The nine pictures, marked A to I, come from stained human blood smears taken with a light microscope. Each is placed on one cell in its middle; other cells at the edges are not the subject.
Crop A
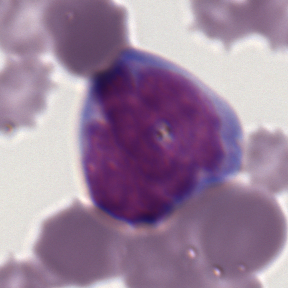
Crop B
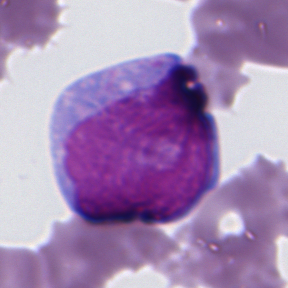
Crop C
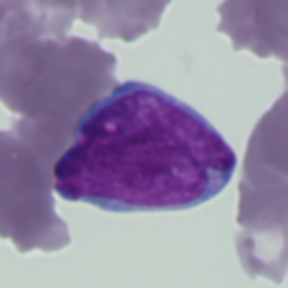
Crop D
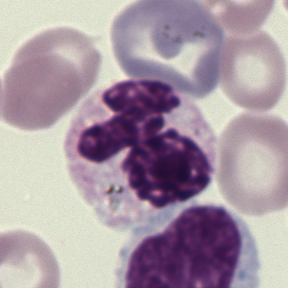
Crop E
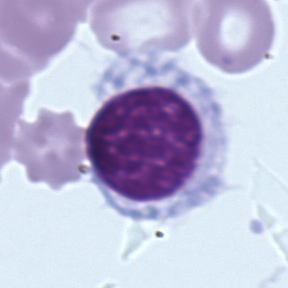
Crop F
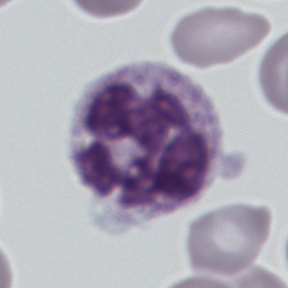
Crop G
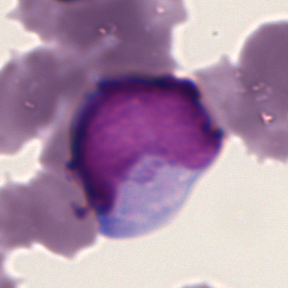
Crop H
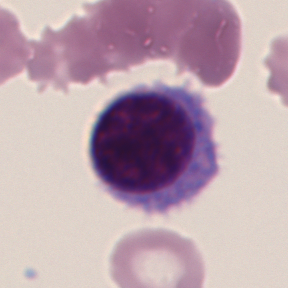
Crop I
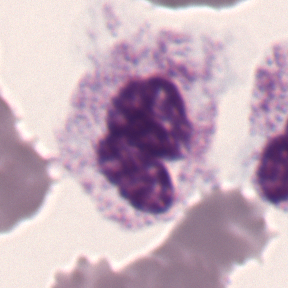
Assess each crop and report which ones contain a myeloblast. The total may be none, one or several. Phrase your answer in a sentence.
The cells sitting in the middle of crops A, B, C and G are myeloblasts.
